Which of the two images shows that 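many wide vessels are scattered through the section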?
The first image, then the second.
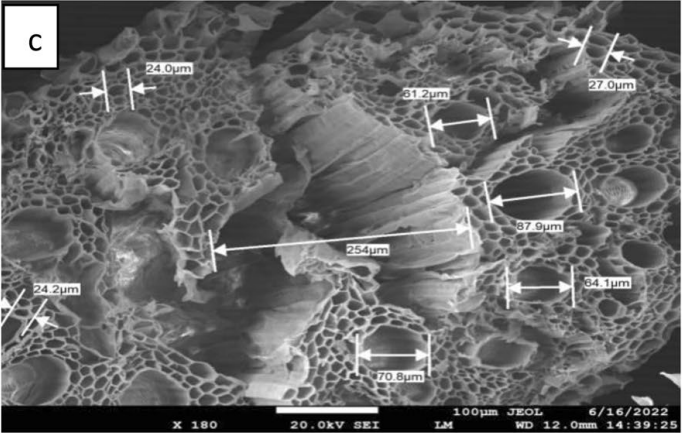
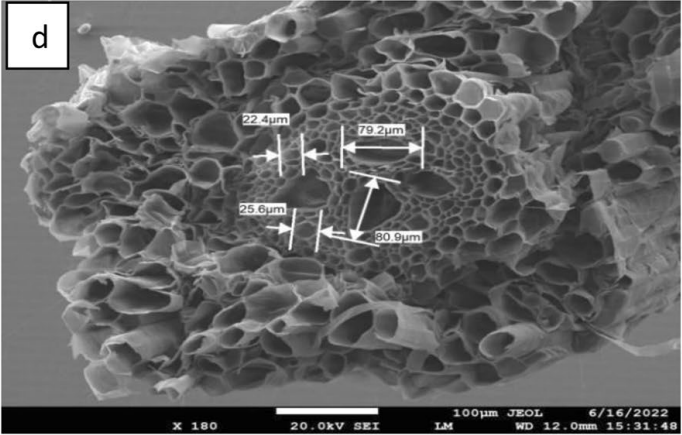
the first image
